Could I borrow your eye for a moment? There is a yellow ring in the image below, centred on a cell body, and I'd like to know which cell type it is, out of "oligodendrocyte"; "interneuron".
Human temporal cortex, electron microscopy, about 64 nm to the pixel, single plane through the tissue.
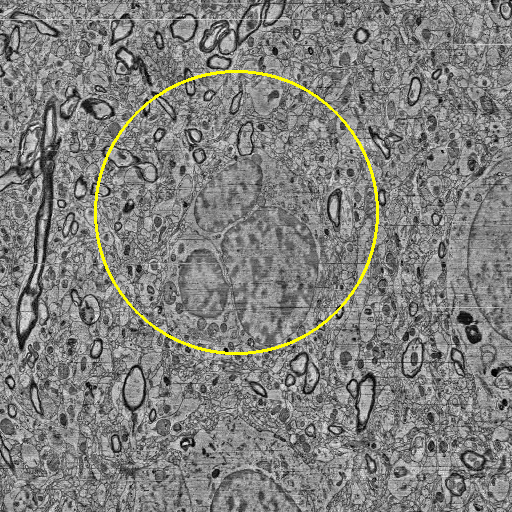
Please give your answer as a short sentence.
The cell body at the centre is that of an oligodendrocyte.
